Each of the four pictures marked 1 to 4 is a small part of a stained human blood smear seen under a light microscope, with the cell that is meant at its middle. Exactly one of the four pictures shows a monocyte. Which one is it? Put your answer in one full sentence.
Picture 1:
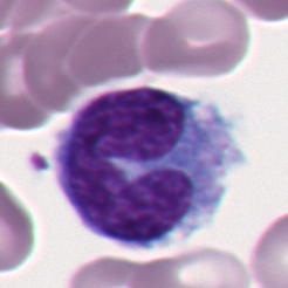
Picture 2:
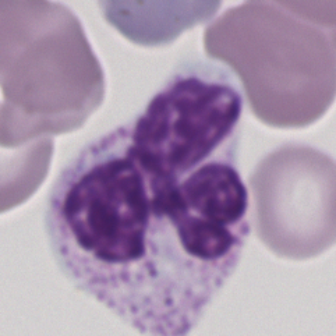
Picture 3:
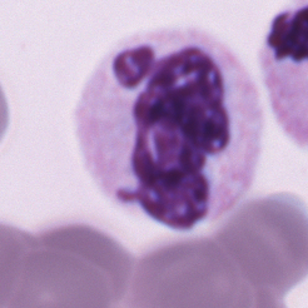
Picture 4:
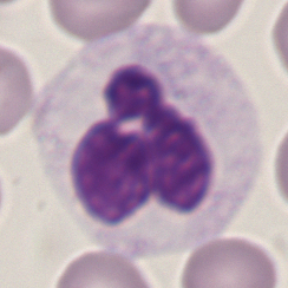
The picture with the monocyte is 1.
